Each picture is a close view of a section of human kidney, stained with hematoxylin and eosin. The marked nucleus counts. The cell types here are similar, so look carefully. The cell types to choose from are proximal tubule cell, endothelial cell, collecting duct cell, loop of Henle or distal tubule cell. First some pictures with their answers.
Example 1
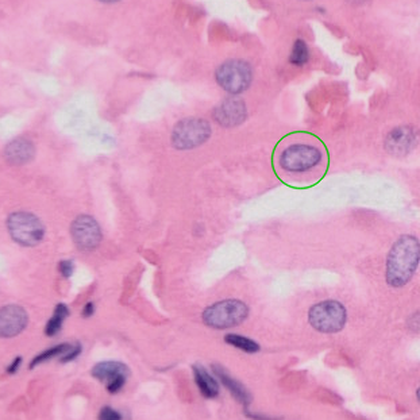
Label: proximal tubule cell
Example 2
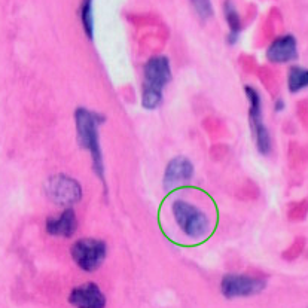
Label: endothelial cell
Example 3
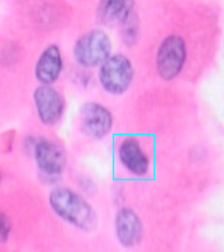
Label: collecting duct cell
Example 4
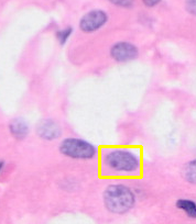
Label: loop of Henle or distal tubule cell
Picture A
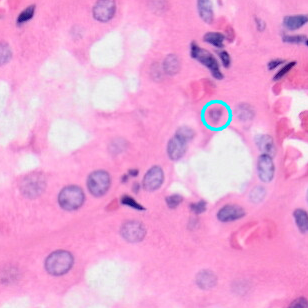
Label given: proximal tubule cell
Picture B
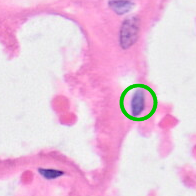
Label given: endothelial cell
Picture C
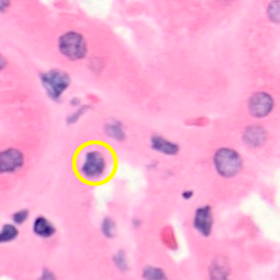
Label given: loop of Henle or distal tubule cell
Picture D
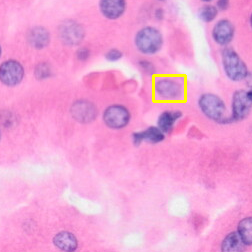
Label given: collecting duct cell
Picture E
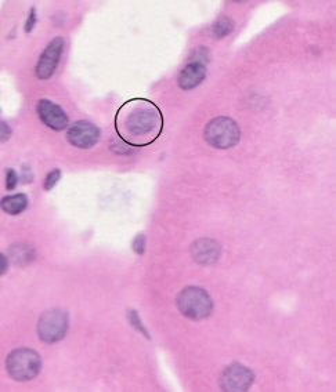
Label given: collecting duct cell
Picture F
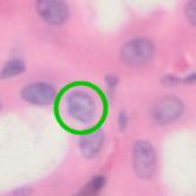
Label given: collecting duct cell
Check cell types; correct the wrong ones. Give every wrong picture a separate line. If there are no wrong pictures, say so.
Wrong: A (proximal tubule cell); correct: collecting duct cell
